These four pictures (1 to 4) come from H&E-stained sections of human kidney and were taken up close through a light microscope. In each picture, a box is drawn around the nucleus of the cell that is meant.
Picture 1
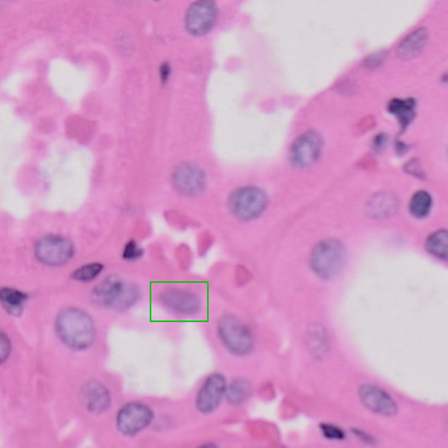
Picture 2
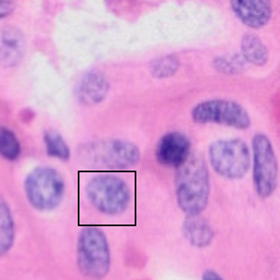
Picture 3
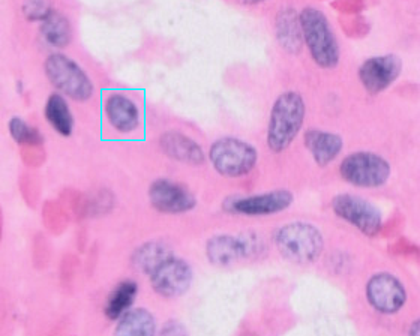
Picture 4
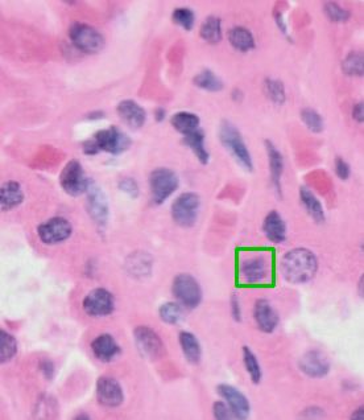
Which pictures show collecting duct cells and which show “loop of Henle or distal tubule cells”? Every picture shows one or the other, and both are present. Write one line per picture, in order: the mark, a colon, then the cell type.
1: collecting duct cell
2: collecting duct cell
3: collecting duct cell
4: loop of Henle or distal tubule cell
